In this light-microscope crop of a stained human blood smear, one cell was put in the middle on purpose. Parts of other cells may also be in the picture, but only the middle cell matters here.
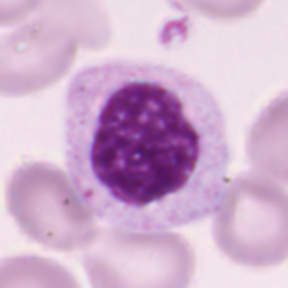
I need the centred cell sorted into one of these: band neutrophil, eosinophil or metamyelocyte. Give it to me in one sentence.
As for the cell in the middle, it is a metamyelocyte.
